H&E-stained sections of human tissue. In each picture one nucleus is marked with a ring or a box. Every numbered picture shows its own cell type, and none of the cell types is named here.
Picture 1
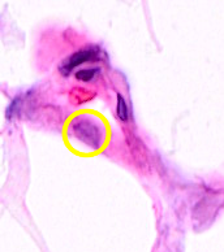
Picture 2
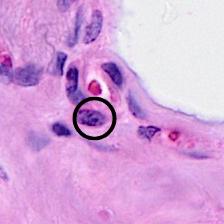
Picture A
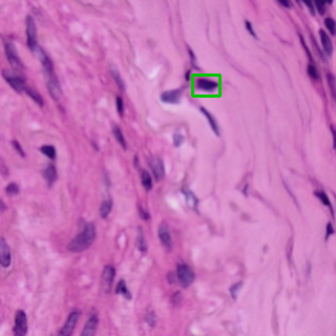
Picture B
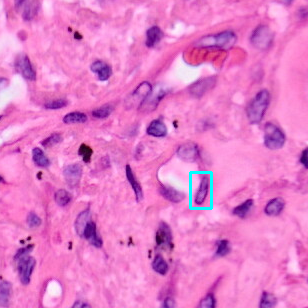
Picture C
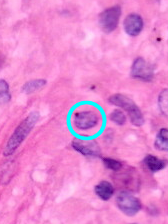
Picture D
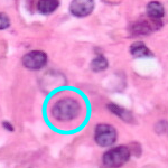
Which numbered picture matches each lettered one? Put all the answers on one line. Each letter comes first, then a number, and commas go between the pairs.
A 2, B 1, C 2, D 2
